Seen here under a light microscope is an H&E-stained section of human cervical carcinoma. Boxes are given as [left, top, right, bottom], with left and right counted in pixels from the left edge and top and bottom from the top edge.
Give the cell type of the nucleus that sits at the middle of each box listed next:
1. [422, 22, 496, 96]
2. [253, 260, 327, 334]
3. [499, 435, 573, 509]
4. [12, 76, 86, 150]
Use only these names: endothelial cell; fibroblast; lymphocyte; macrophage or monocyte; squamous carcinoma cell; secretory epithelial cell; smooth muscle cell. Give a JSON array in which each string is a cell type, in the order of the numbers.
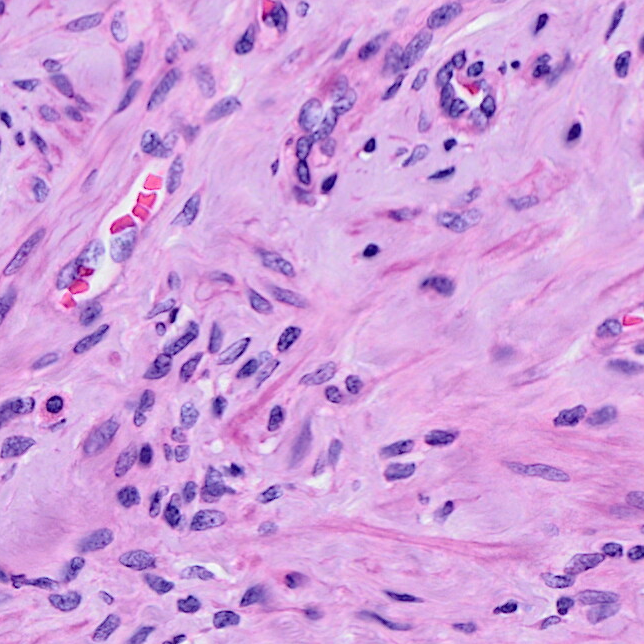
["endothelial cell", "smooth muscle cell", "smooth muscle cell", "smooth muscle cell"]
